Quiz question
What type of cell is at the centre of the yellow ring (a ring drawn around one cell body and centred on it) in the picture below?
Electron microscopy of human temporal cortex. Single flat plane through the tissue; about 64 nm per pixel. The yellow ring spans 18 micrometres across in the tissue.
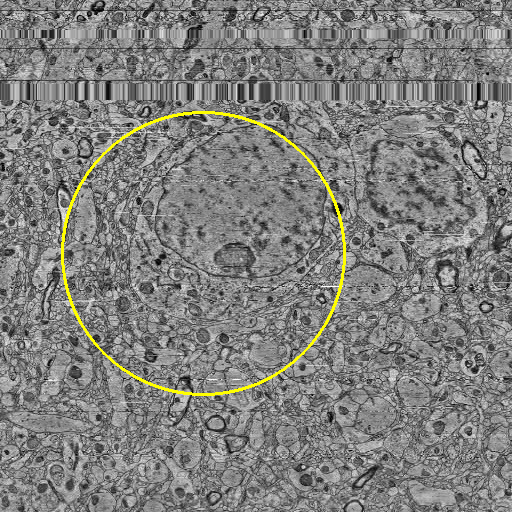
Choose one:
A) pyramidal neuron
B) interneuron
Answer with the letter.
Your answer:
A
